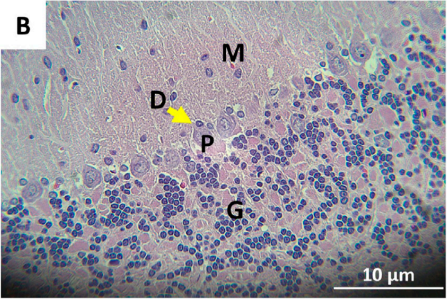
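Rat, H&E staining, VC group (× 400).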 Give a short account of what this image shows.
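This high-power view of the cerebellar cortex shows three layers: a pale pink fibrillar molecular layer above, a row of large Purkinje cells in the middle, and a granular layer below. The granular layer is packed with small round cells whose dark-blue nuclei have scarcely any visible cytoplasm. The molecular layer holds only a few scattered small nuclei within its fine pink fibres.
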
